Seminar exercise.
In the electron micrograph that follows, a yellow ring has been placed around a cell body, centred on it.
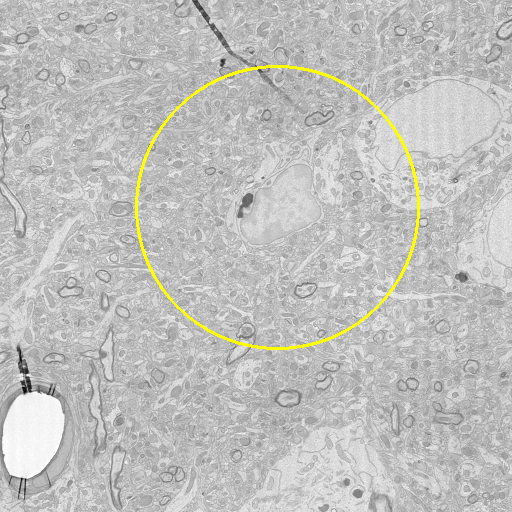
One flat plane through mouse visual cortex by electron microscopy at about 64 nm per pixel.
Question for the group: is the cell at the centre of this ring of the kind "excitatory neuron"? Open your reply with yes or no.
No, the cell in the ring's centre is of another kind.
